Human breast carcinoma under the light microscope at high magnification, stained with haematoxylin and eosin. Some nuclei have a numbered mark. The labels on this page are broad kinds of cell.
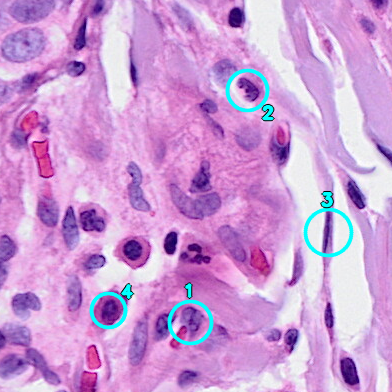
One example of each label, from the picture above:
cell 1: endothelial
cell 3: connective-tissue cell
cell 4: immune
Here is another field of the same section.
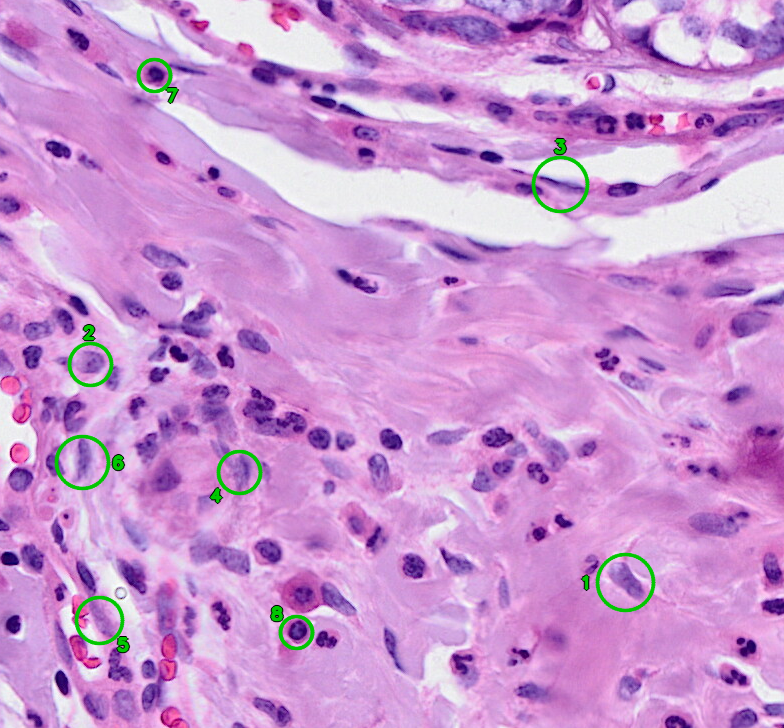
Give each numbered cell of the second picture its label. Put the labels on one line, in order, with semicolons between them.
connective-tissue cell; immune; connective-tissue cell; connective-tissue cell; endothelial; connective-tissue cell; immune; immune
